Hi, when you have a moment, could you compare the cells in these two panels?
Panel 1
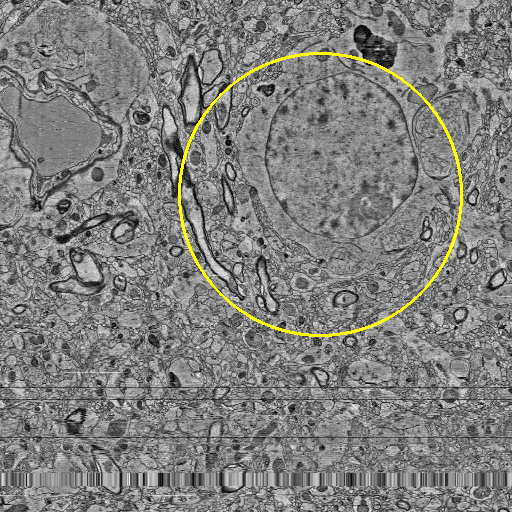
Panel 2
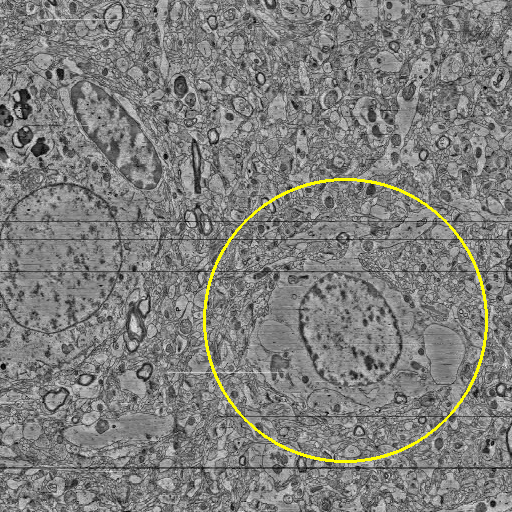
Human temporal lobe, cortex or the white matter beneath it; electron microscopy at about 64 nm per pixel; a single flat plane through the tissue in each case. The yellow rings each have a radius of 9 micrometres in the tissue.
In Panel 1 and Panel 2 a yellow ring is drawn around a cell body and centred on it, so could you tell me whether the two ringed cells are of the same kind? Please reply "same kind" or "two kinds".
same kind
